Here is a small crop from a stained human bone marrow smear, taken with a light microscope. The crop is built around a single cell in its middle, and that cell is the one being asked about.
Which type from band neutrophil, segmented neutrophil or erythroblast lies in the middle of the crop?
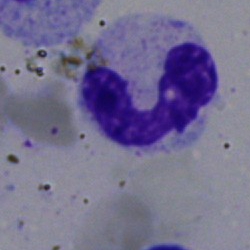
segmented neutrophil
